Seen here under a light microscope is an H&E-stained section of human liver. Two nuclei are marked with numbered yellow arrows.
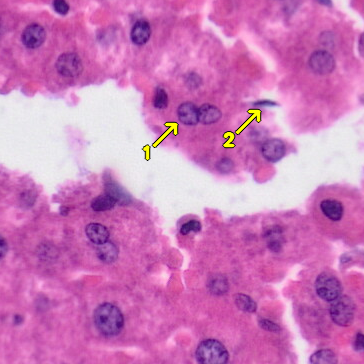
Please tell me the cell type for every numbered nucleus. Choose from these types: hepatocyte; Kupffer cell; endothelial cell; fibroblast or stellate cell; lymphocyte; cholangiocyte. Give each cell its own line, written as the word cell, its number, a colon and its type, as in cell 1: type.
cell 1: hepatocyte
cell 2: endothelial cell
